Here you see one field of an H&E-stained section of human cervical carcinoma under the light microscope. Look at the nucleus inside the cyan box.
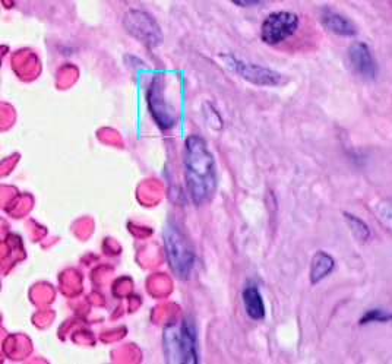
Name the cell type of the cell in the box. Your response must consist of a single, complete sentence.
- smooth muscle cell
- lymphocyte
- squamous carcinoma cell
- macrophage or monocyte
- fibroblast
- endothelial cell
In this section of tissue, the cell in the box is an endothelial cell.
